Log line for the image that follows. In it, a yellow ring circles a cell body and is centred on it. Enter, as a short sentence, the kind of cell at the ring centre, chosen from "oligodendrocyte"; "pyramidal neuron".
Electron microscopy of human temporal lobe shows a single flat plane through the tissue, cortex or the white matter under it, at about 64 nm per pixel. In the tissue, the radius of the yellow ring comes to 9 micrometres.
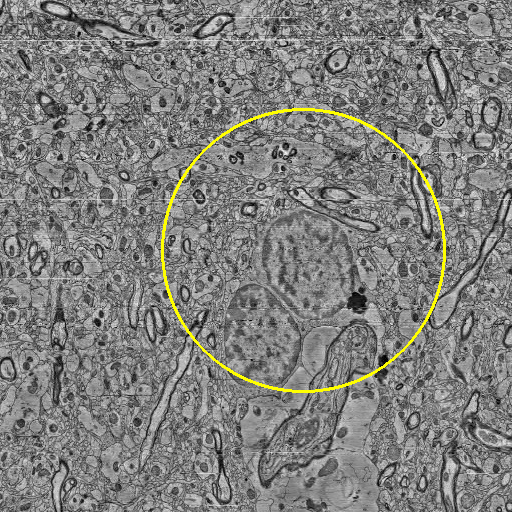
The ring centre is occupied by an oligodendrocyte.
